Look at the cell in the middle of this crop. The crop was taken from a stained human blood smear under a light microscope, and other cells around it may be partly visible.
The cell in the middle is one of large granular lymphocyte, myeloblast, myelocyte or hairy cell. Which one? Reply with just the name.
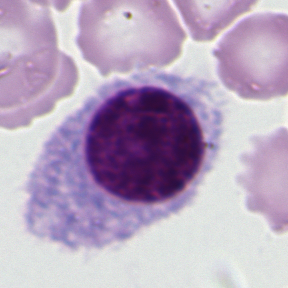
hairy cell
